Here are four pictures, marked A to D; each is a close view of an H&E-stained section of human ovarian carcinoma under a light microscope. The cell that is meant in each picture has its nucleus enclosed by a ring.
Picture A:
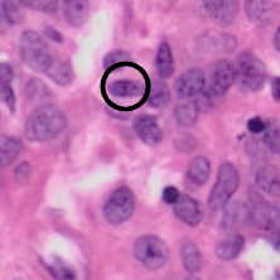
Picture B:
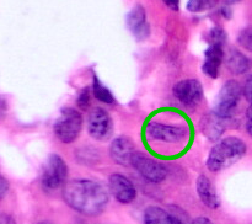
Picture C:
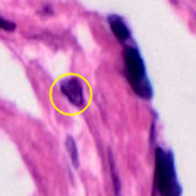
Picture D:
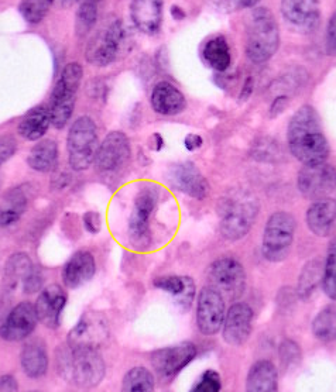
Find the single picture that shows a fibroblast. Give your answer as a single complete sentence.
It is picture C that shows the fibroblast.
